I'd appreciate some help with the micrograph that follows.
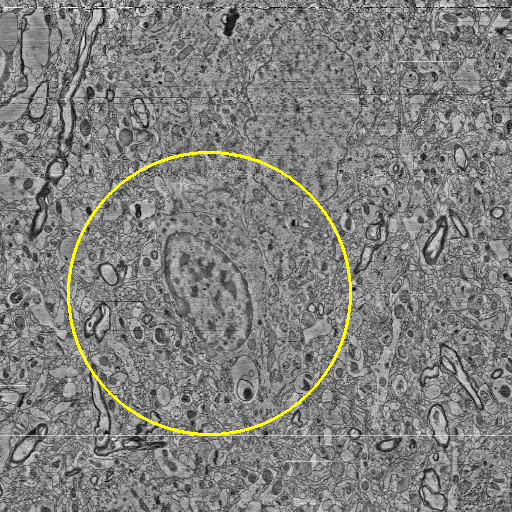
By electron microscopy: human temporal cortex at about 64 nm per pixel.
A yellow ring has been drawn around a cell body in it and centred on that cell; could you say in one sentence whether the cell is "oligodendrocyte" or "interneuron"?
It is an oligodendrocyte at the centre of the ring.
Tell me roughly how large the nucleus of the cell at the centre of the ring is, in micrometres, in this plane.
At approximately 8 by 5 micrometres, the nucleus is clearly longer than it is wide in this plane.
